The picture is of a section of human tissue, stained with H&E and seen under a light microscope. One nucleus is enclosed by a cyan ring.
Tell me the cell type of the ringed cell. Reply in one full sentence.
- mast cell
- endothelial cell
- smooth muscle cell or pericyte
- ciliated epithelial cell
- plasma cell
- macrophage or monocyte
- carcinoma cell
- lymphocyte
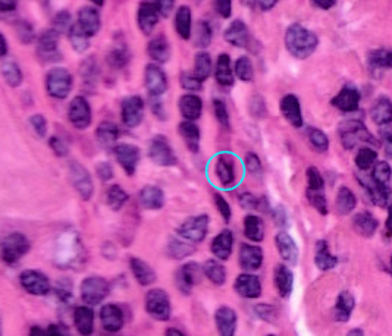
Considered by cell type, the ringed cell is a plasma cell.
